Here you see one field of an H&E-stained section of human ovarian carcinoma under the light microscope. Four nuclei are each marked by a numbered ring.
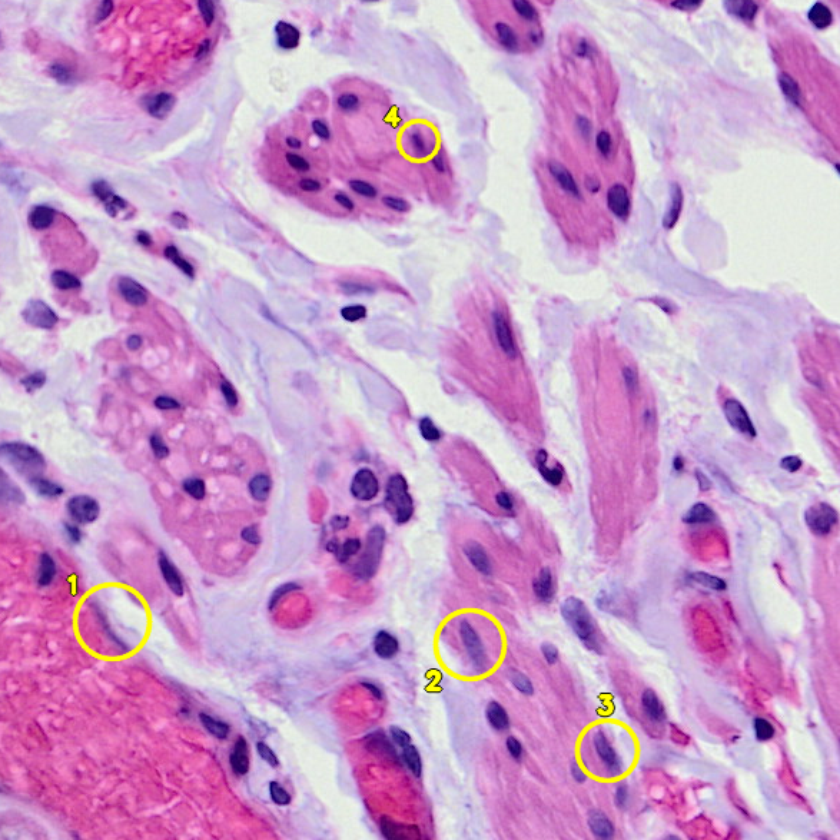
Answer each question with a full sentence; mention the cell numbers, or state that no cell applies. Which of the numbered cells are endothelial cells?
The cell bearing the number 1 is an endothelial cell, unlike the rest of the numbered cells.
